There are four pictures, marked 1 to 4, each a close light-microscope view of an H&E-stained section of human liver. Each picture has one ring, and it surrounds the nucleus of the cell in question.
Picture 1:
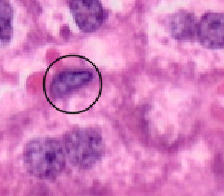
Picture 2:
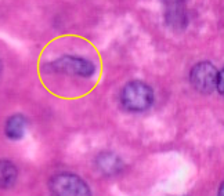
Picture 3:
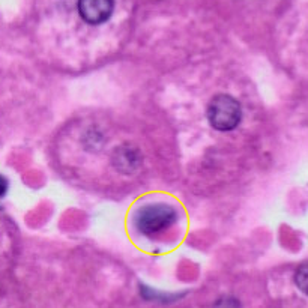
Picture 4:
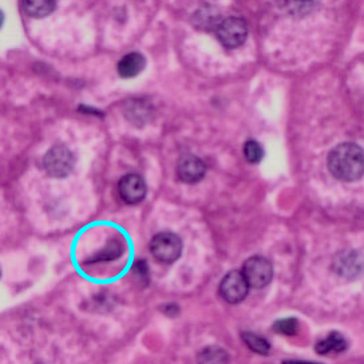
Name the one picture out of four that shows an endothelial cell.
3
